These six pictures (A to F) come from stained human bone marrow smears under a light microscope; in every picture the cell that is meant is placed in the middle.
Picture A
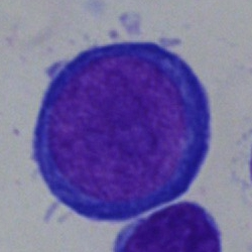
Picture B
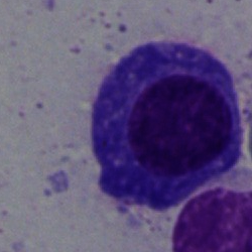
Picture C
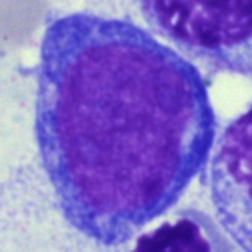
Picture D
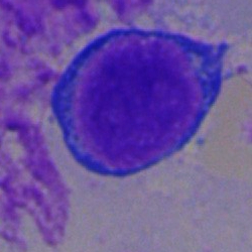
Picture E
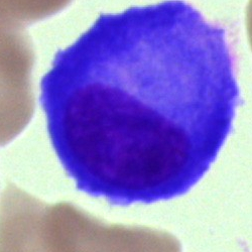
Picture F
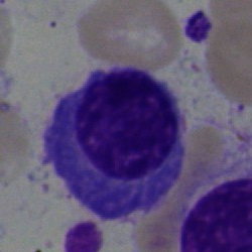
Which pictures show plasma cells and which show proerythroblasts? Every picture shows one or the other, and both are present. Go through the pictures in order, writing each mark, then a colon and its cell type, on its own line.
A: proerythroblast
B: plasma cell
C: proerythroblast
D: proerythroblast
E: plasma cell
F: plasma cell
